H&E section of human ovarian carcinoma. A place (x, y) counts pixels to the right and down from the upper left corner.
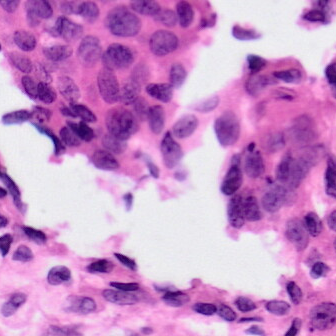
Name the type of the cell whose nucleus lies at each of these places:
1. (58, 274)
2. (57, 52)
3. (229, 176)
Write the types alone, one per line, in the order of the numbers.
macrophage or monocyte
carcinoma cell
carcinoma cell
